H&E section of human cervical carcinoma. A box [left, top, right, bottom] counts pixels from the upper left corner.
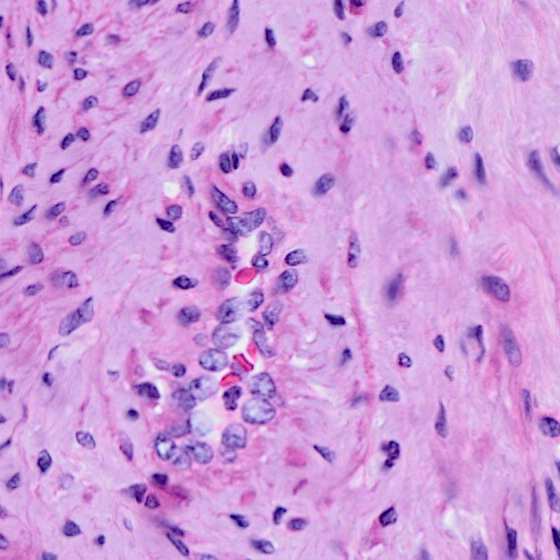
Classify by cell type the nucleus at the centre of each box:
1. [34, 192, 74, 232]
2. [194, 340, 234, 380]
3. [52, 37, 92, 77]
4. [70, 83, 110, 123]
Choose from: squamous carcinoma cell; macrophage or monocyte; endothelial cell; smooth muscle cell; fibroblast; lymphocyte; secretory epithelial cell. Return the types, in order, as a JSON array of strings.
["smooth muscle cell", "endothelial cell", "smooth muscle cell", "smooth muscle cell"]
